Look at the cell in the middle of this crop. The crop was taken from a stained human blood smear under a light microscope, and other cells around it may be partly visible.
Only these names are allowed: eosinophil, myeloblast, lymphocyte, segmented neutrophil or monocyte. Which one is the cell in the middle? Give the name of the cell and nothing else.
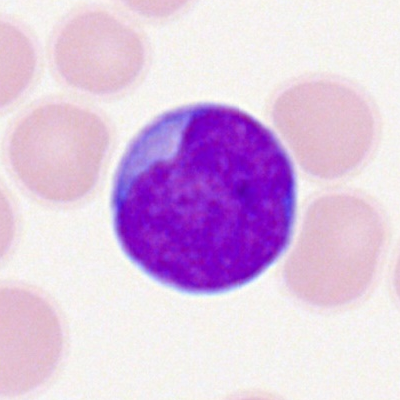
myeloblast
